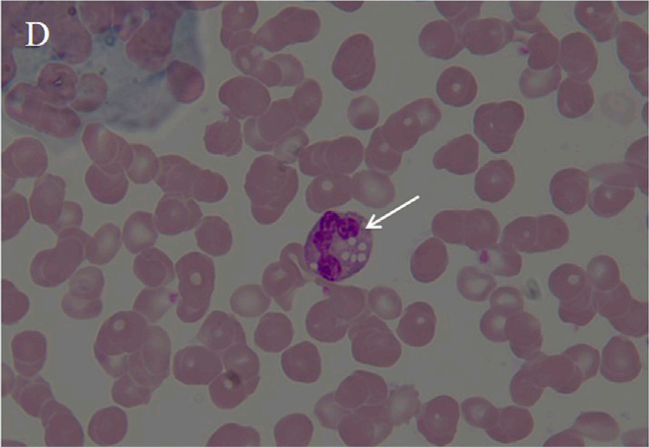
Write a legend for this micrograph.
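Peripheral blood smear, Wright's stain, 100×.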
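Many pink, round, anucleate red cells with pale centres fill the field, and among them lies a single nucleated white cell with a dark purple, lobed nucleus. The cytoplasm of this white cell is riddled with several clear, round, sharply outlined holes around the nucleus.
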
